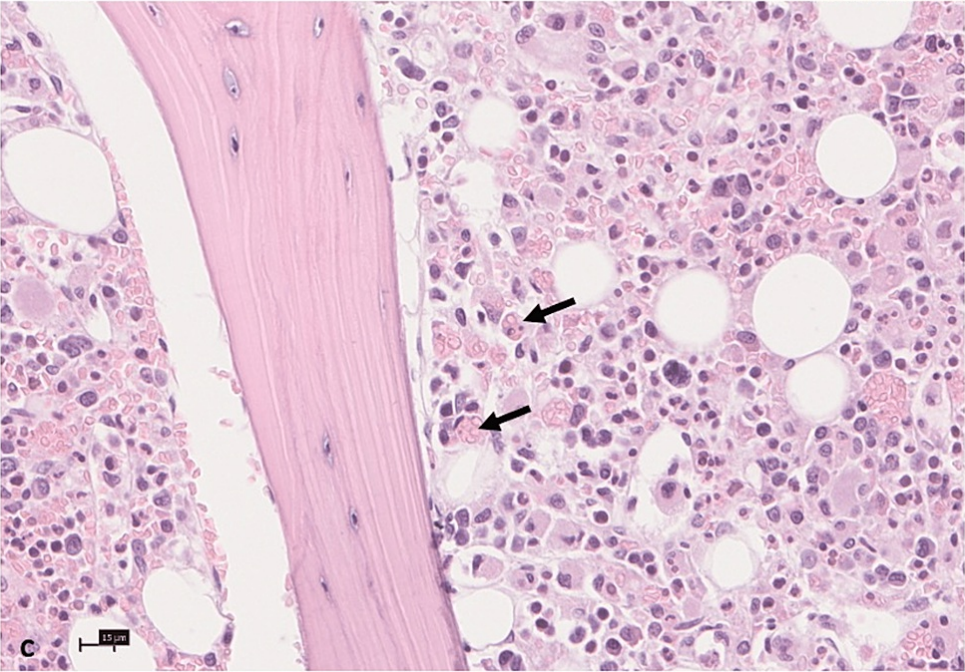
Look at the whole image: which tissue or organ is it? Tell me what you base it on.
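A pink lamellar bony trabecula with osteocytes in lacunae. Round empty fat spaces among densely packed hematopoietic cells. Large multilobed cells resembling megakaryocytes. On this evidence: Bone marrow.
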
